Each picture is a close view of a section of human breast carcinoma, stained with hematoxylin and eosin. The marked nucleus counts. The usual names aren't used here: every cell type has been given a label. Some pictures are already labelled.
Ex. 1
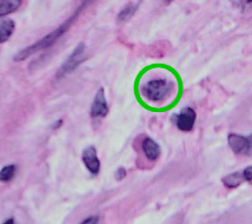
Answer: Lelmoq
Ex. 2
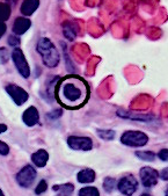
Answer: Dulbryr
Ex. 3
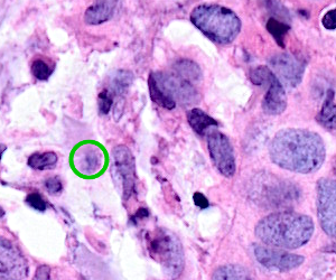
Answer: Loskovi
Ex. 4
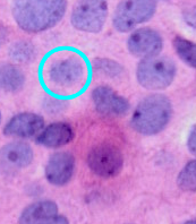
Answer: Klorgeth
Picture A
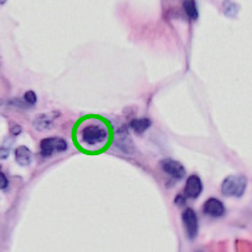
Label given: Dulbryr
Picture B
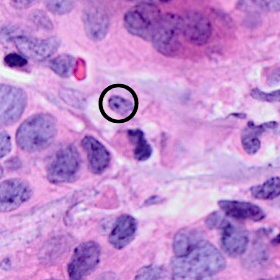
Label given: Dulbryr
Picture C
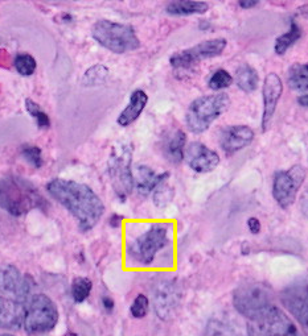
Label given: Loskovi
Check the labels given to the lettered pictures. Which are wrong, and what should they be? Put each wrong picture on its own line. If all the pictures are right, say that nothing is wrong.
B: not Dulbryr but Lelmoq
